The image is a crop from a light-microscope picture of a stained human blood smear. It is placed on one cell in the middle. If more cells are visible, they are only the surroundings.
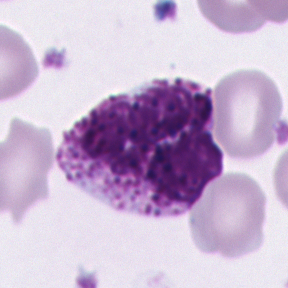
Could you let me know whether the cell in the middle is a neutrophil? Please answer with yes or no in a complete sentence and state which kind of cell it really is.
No, not a neutrophil but a basophil is the cell in the centre.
